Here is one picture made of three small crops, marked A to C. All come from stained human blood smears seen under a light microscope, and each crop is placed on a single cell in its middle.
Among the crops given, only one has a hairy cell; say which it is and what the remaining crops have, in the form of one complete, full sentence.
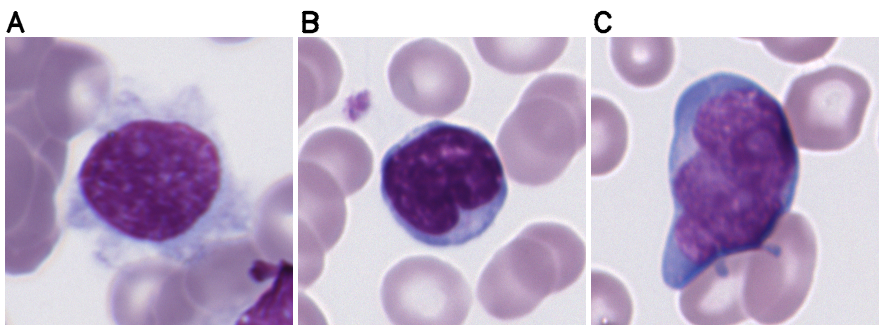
Crop A holds a hairy cell at its centre, while crop B is a typical lymphocyte and crop C is a blast.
